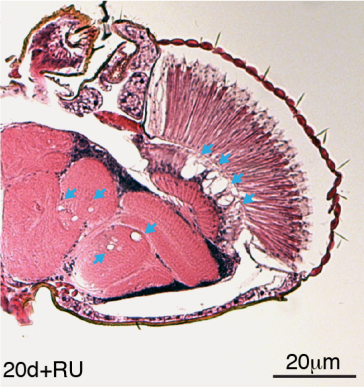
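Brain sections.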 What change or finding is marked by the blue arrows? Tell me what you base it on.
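Round, empty white holes lie in the pink brain tissue where the arrows point. Several holes form a row at the edge of the brain next to the striated eye region. The holes have sharp edges and hold no stained material.
Conclusion: vacuoles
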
